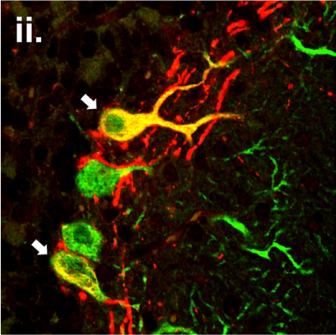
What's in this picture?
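These are Purkinje cells of the cerebellum, seen as large green cell bodies with round nuclei set in a row. Some of these cell bodies, and the thick dendritic trunk branching from one of them, look yellow where red overlaps the green, while other cells stay plain green. Thin red fibres run through the surrounding tissue.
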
